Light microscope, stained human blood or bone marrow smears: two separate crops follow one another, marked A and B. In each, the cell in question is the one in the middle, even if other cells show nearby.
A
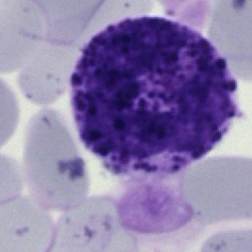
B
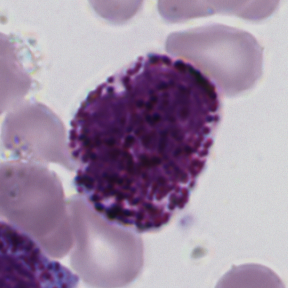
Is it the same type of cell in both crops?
yes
